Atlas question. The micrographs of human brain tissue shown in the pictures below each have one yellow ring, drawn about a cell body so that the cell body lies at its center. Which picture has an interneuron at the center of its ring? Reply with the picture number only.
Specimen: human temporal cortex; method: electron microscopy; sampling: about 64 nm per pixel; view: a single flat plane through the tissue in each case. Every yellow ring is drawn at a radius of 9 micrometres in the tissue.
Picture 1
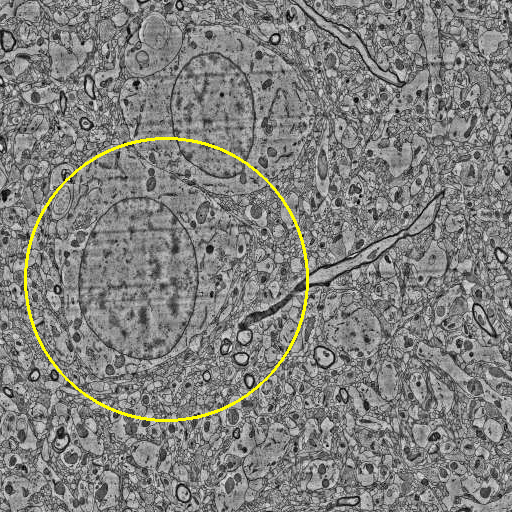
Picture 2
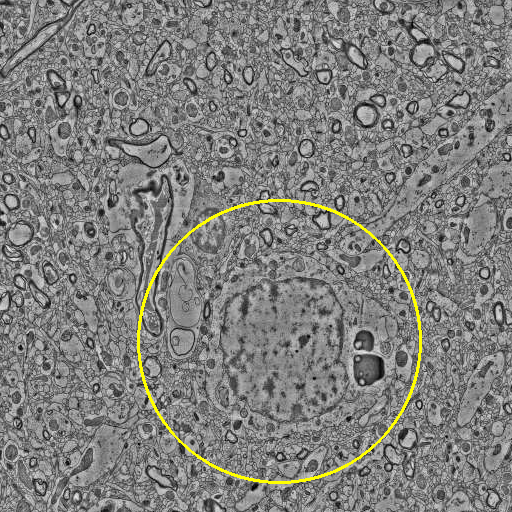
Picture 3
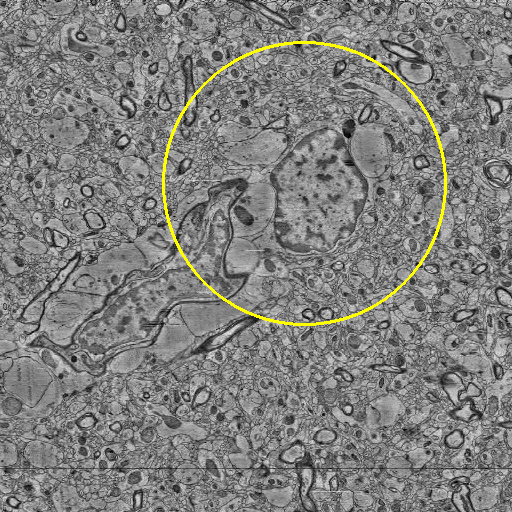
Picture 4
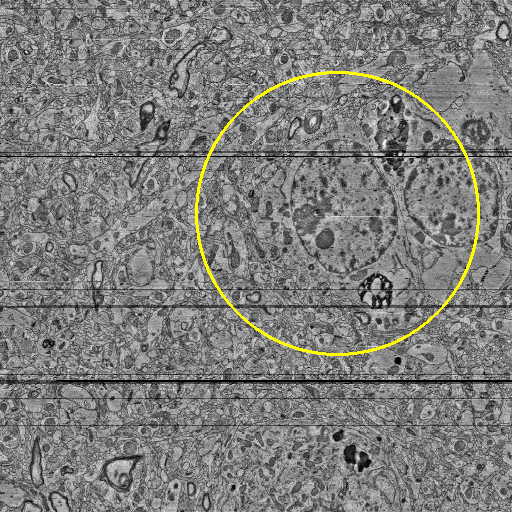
2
